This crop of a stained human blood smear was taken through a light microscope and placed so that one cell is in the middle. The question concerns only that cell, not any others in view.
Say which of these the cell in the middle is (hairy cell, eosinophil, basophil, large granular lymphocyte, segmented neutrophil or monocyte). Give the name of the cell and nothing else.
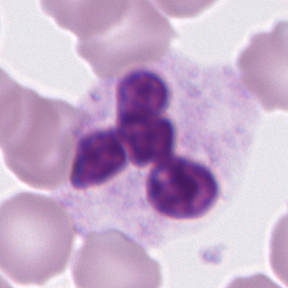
segmented neutrophil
